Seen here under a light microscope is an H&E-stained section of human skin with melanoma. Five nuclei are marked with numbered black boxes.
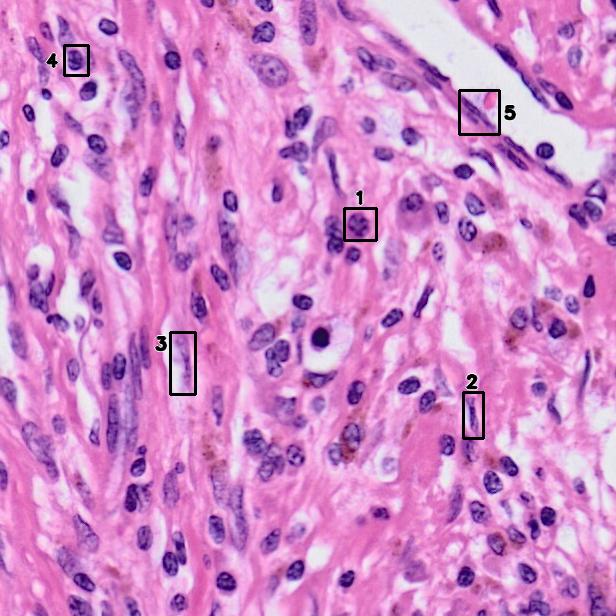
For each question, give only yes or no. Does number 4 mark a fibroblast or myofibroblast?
no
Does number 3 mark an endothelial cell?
no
